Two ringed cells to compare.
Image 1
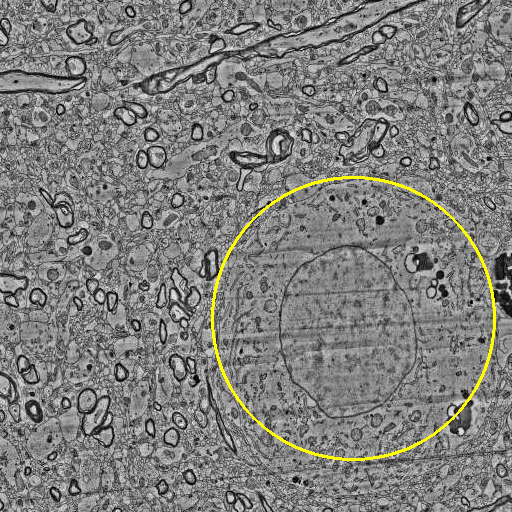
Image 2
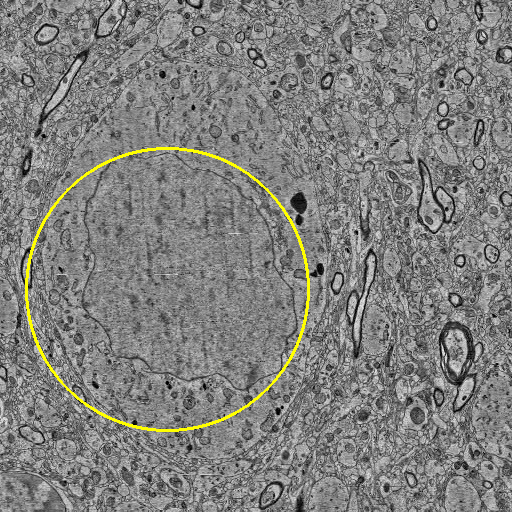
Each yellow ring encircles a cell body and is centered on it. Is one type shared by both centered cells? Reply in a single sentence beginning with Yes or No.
Yes, a single type is shared by the two cells at the centers of the rings.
